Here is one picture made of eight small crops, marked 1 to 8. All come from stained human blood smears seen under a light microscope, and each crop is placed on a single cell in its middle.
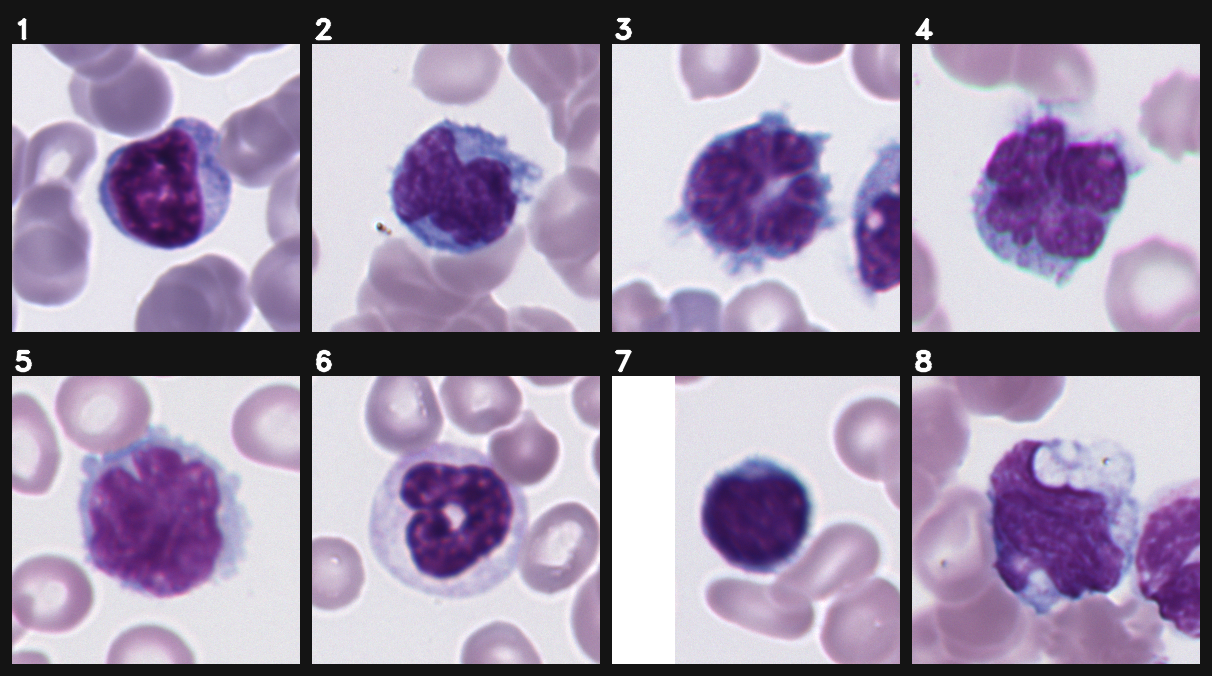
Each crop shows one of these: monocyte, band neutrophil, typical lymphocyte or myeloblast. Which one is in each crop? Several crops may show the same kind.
1: typical lymphocyte
2: monocyte
3: monocyte
4: monocyte
5: myeloblast
6: band neutrophil
7: typical lymphocyte
8: monocyte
